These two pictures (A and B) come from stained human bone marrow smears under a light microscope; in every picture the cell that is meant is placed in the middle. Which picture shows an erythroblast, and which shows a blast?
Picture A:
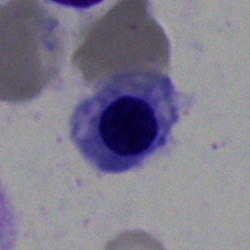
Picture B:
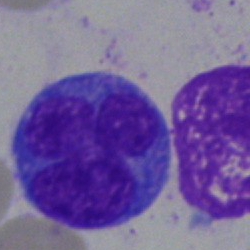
A: erythroblast
B: blast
